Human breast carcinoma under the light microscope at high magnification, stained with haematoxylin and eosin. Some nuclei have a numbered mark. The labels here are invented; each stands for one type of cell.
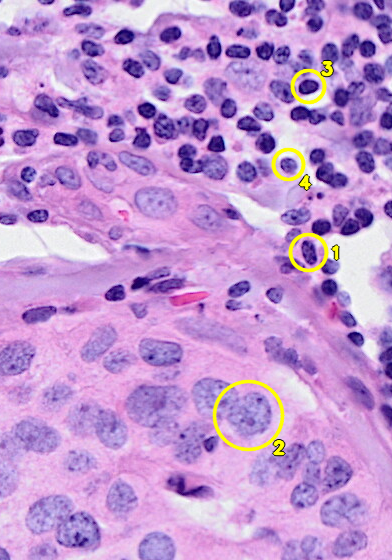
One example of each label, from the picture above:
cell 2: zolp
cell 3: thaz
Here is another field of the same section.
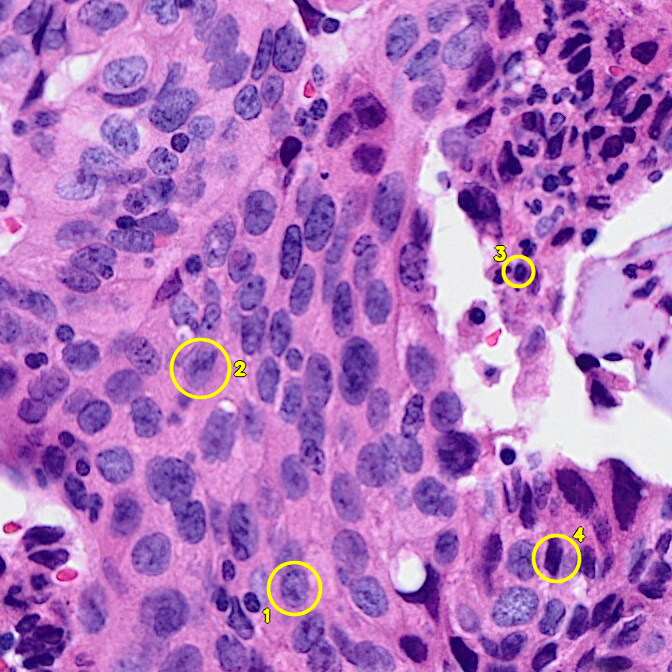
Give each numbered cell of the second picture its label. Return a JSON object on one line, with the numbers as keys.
{"1": "zolp", "2": "zolp", "3": "thaz", "4": "zolp"}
